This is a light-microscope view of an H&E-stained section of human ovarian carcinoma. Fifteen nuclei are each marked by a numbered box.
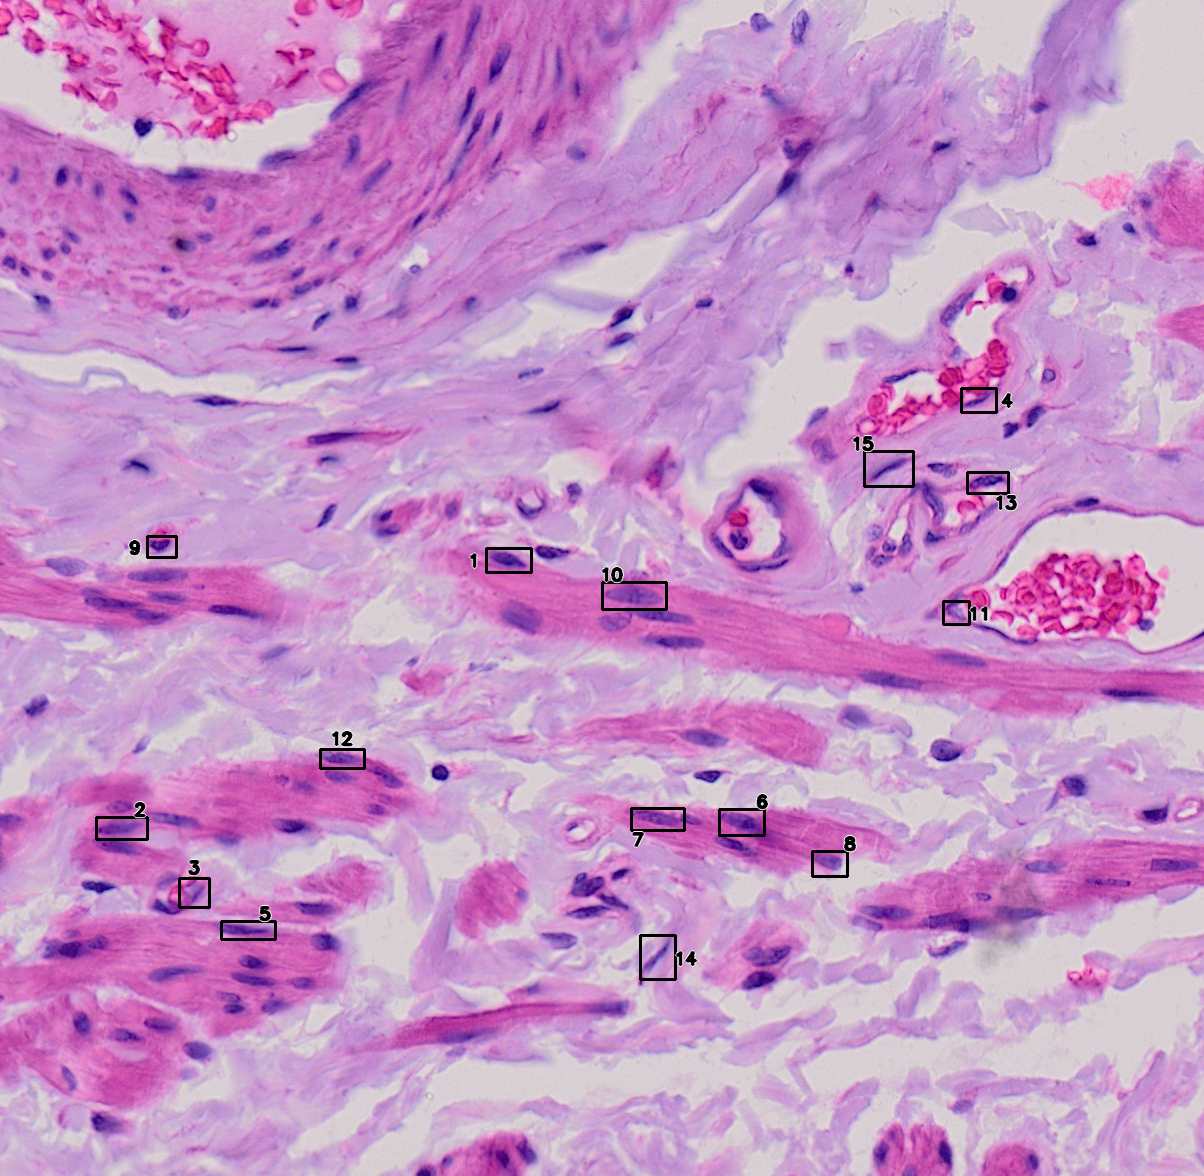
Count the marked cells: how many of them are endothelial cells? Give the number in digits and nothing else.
5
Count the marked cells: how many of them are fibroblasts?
2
